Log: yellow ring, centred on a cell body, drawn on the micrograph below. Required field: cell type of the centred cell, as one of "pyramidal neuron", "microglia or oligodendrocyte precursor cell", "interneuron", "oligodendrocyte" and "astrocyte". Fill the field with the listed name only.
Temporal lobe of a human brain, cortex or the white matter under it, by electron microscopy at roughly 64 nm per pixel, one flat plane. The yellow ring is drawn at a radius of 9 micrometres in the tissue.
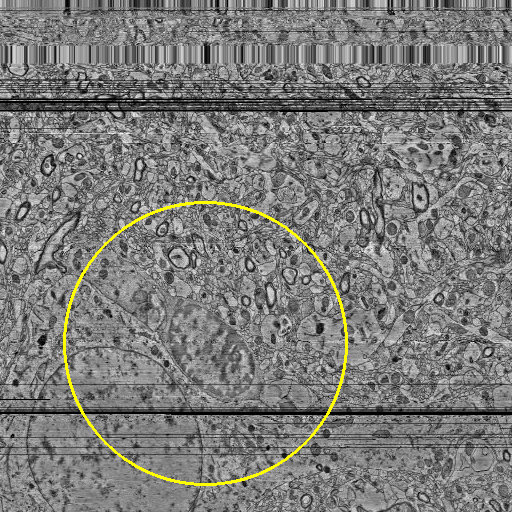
oligodendrocyte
